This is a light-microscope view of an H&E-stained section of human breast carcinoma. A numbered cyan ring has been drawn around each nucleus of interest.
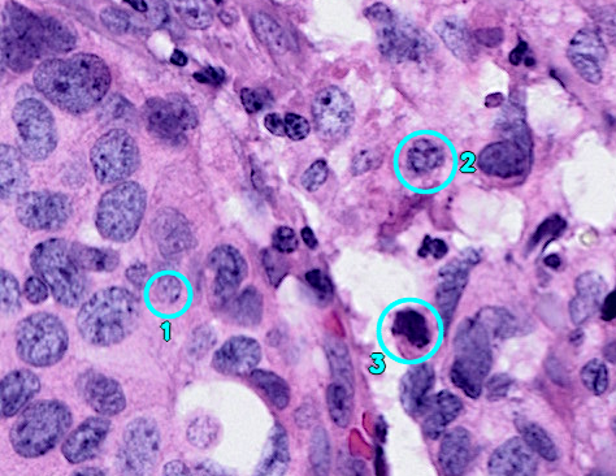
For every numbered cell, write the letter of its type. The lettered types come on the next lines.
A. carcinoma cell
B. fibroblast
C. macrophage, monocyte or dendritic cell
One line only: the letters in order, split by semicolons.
A; C; A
